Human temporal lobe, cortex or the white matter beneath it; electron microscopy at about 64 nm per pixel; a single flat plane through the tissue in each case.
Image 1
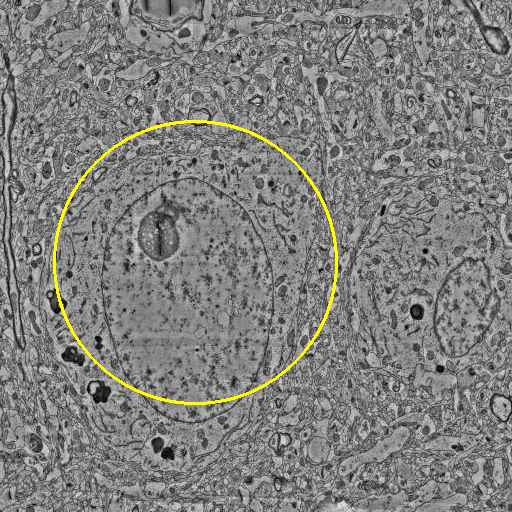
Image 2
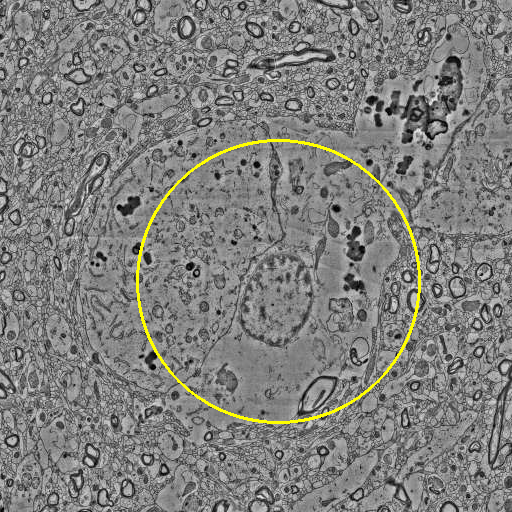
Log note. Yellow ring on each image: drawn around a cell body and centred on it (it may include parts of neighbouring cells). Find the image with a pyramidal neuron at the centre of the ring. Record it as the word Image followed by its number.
Image 1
